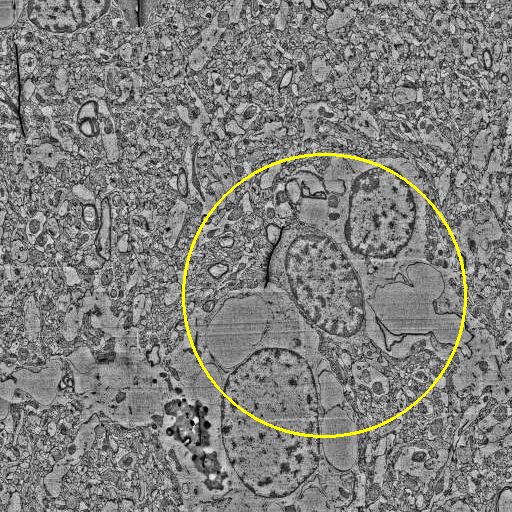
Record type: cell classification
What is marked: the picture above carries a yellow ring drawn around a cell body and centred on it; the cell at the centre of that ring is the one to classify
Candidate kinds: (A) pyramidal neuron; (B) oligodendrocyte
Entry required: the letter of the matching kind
B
